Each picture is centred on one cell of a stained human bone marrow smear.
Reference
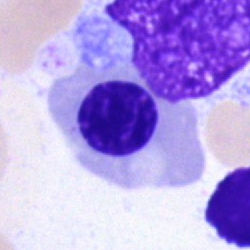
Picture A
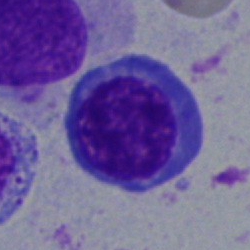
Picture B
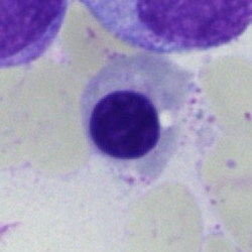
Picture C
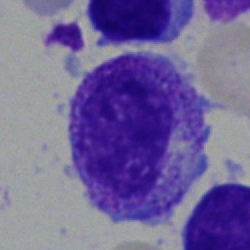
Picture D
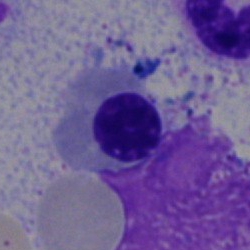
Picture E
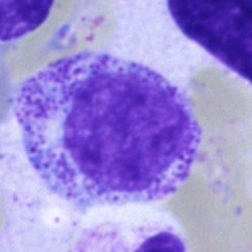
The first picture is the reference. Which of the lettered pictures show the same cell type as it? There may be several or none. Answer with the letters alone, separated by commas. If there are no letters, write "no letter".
A, B, D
